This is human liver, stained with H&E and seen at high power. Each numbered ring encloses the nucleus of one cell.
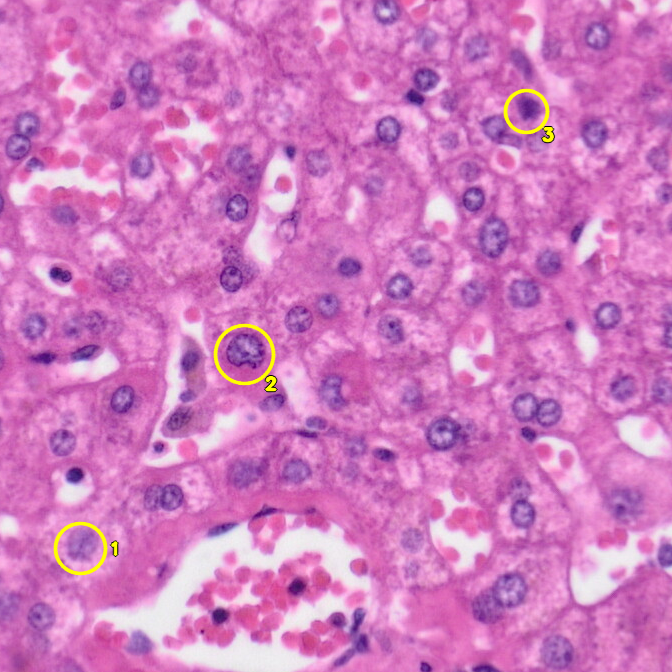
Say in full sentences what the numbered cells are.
Cell 1 is a hepatocyte, cell 2 is a hepatocyte and cell 3 is a fibroblast or stellate cell.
